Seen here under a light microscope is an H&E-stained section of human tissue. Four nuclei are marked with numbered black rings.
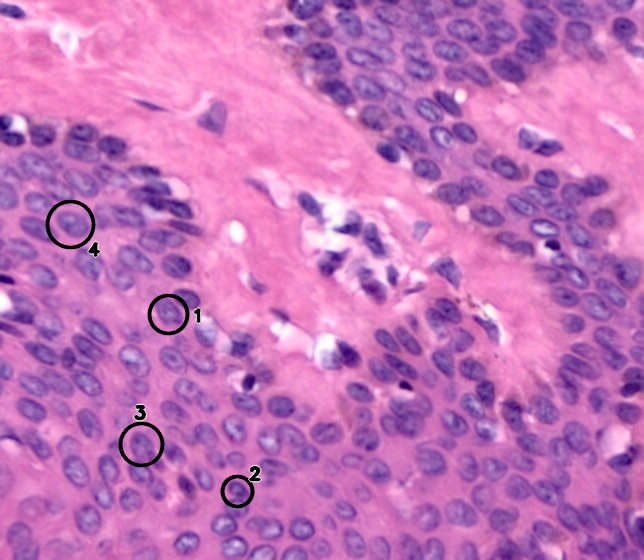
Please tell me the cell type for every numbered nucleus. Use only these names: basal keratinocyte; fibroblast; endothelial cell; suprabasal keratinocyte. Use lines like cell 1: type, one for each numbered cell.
cell 1: basal keratinocyte
cell 2: suprabasal keratinocyte
cell 3: suprabasal keratinocyte
cell 4: suprabasal keratinocyte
